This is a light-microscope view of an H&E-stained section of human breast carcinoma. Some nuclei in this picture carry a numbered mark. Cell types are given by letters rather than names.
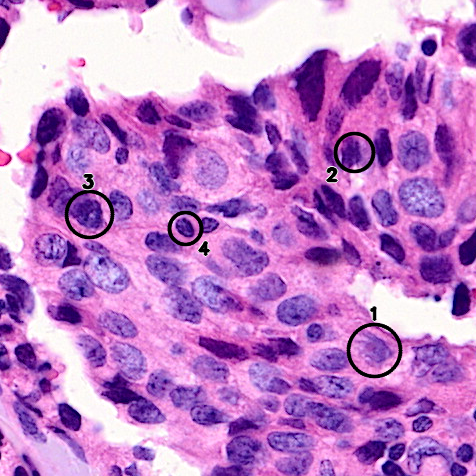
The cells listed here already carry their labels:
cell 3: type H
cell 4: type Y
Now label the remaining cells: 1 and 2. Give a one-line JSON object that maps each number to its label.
{"1": "type H", "2": "type H"}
